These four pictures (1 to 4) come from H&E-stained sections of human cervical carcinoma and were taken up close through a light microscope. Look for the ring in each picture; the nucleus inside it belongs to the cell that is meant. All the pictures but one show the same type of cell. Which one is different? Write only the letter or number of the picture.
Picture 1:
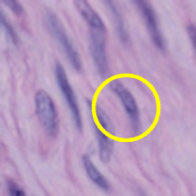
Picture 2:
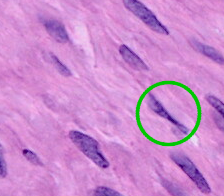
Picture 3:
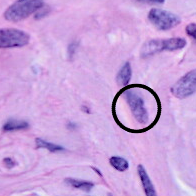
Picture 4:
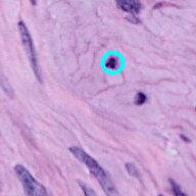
1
